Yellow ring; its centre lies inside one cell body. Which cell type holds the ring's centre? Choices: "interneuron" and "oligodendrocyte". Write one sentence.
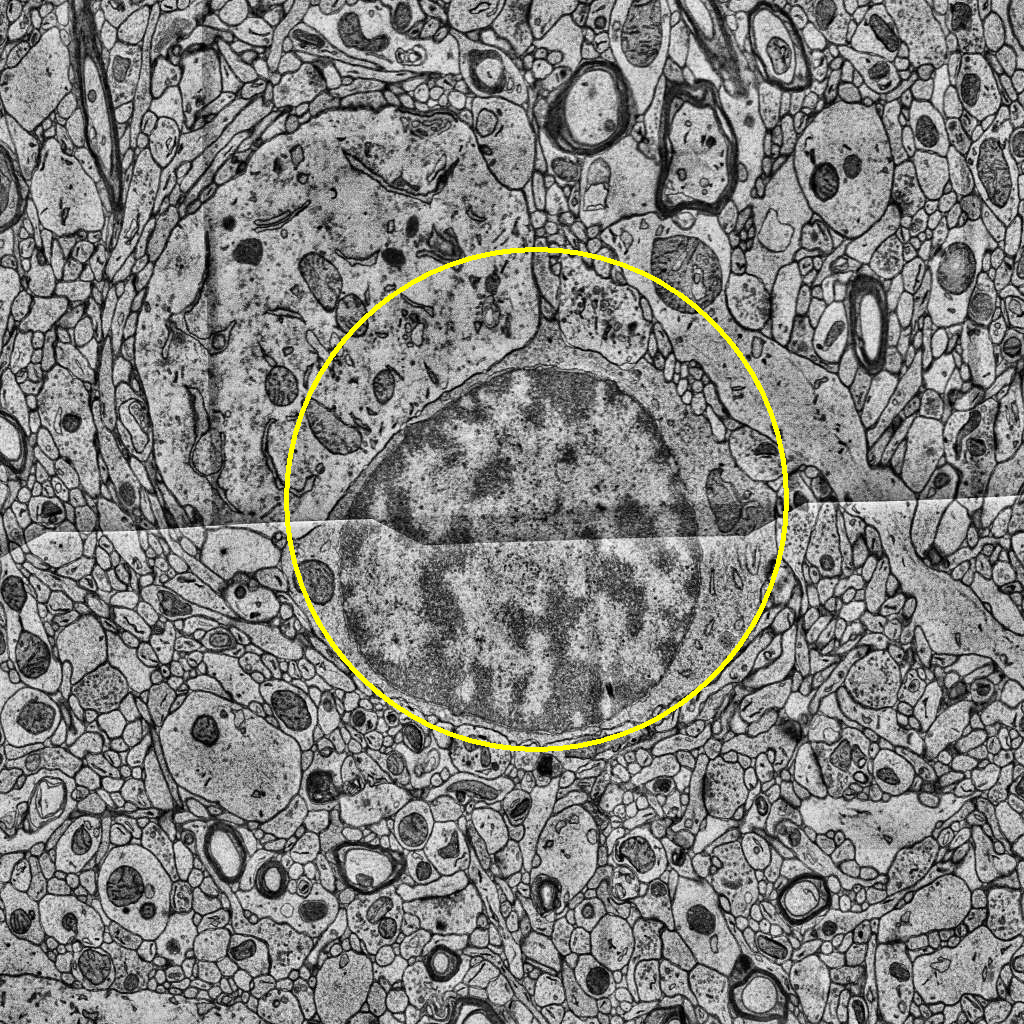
At the centre of the ring sits an oligodendrocyte.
